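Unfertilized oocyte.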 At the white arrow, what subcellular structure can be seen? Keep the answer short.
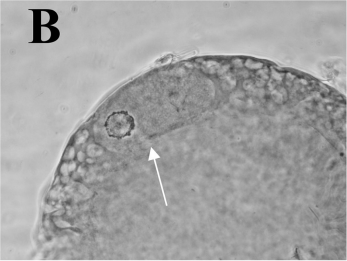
Germinal vesicle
